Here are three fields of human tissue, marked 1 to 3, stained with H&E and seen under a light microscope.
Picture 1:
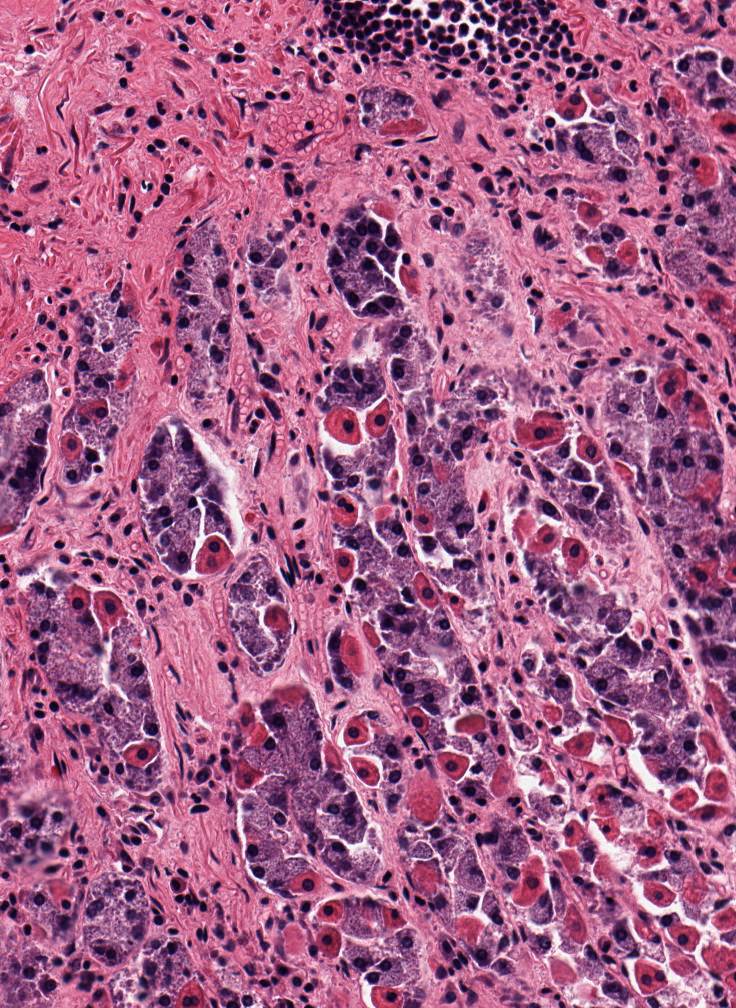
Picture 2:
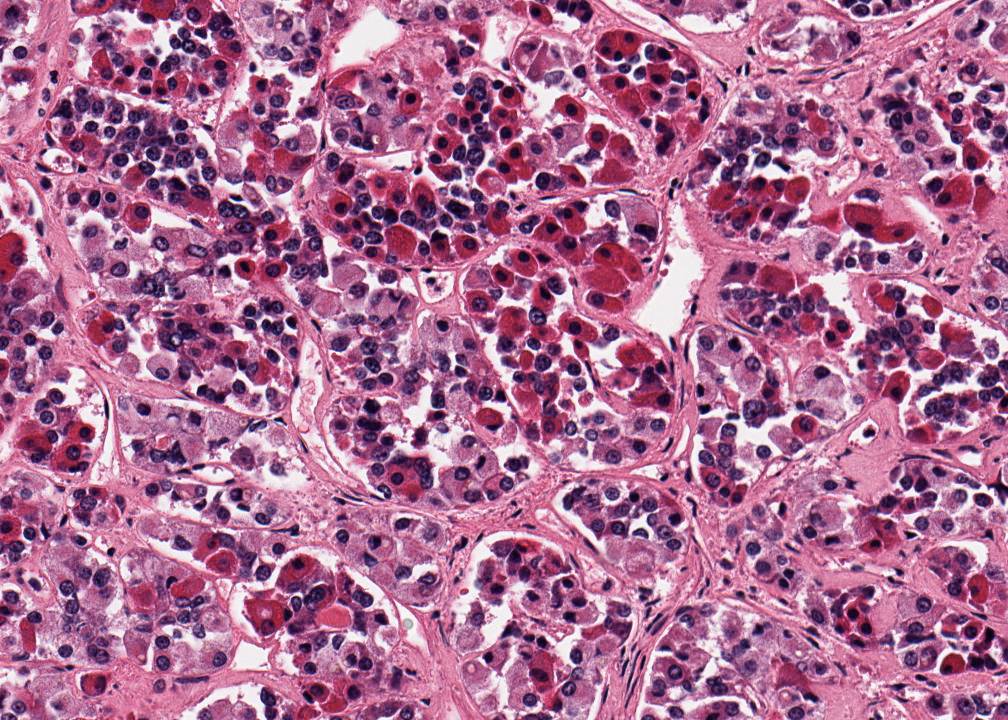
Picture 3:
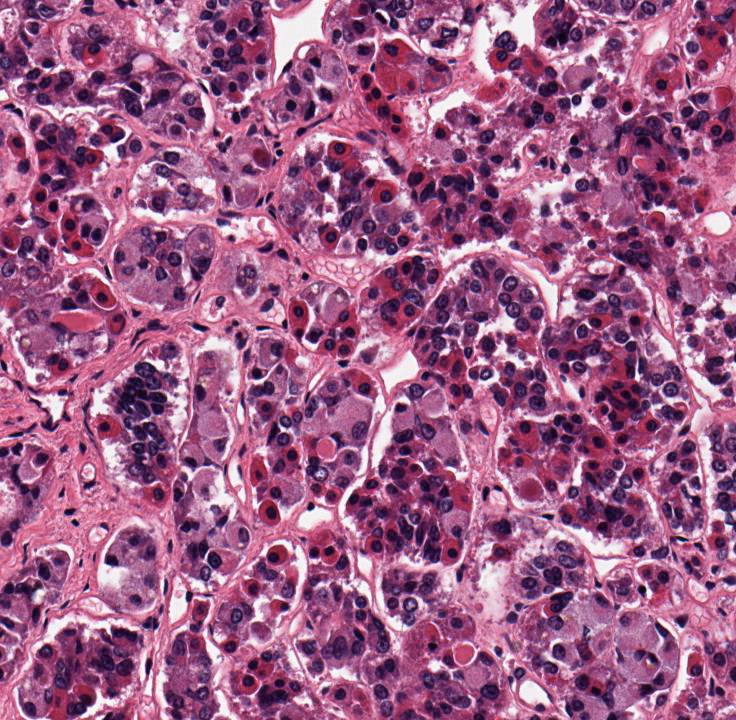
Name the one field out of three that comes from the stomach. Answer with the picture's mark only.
1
